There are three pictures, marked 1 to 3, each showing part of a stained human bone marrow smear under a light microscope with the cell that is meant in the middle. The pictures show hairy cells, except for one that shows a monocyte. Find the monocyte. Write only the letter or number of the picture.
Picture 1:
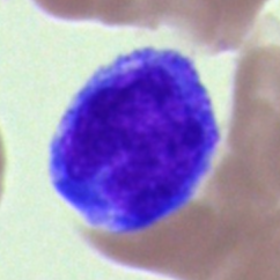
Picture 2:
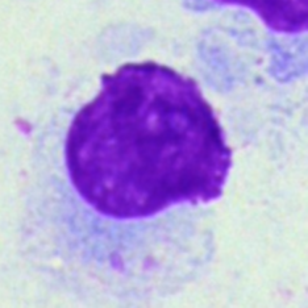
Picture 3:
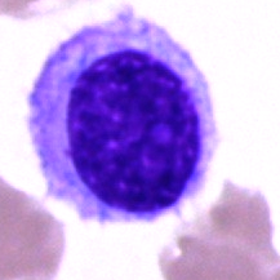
1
